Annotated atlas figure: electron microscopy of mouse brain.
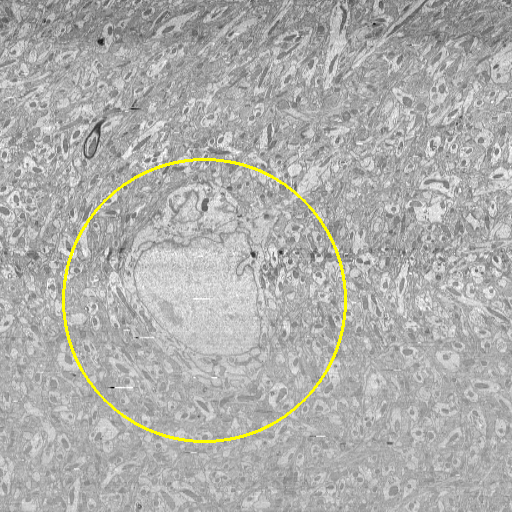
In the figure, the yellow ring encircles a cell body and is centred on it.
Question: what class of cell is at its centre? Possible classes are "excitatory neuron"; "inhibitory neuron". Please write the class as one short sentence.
The yellow ring is drawn around an inhibitory neuron.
